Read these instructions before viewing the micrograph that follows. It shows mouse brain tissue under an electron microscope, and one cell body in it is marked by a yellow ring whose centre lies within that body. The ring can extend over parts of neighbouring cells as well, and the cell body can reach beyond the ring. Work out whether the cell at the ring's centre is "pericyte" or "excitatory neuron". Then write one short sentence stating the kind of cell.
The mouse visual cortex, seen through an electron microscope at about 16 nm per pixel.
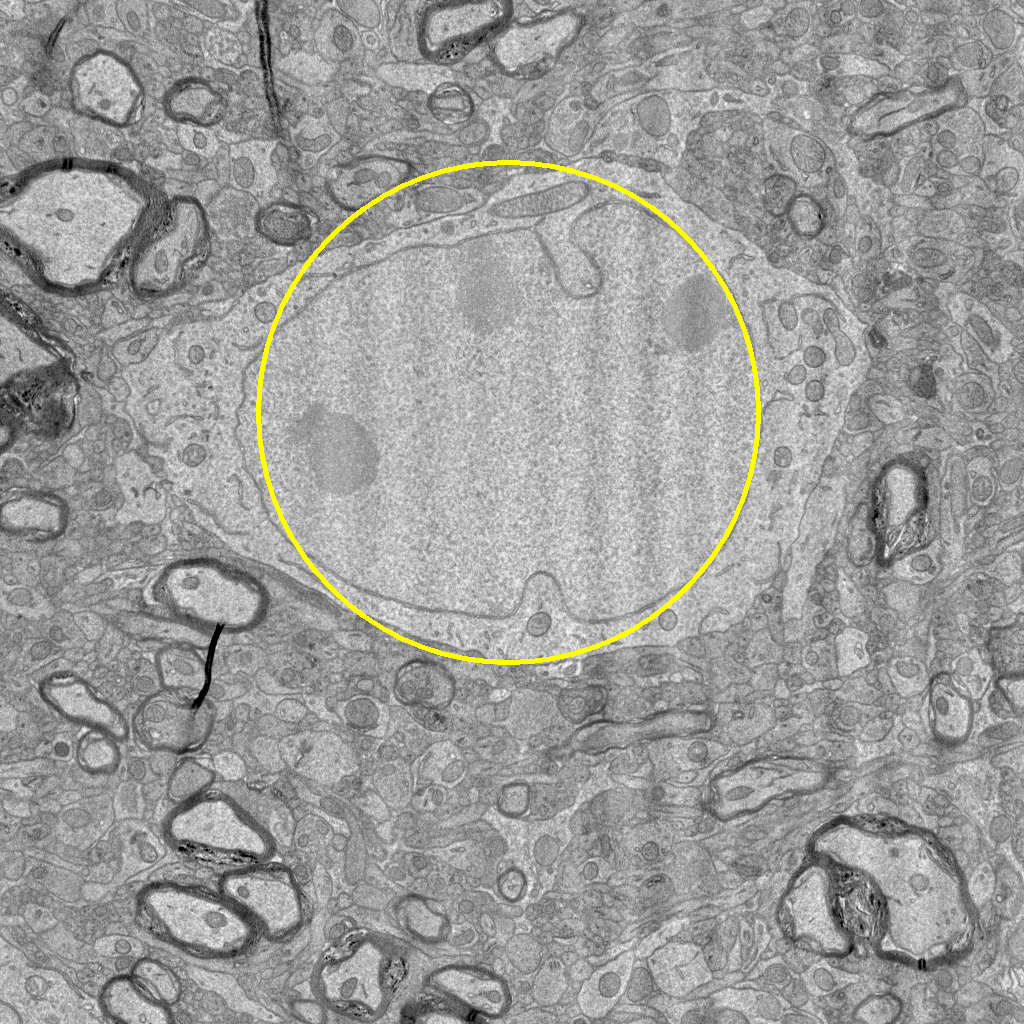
The cell at the ring's centre is an excitatory neuron.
